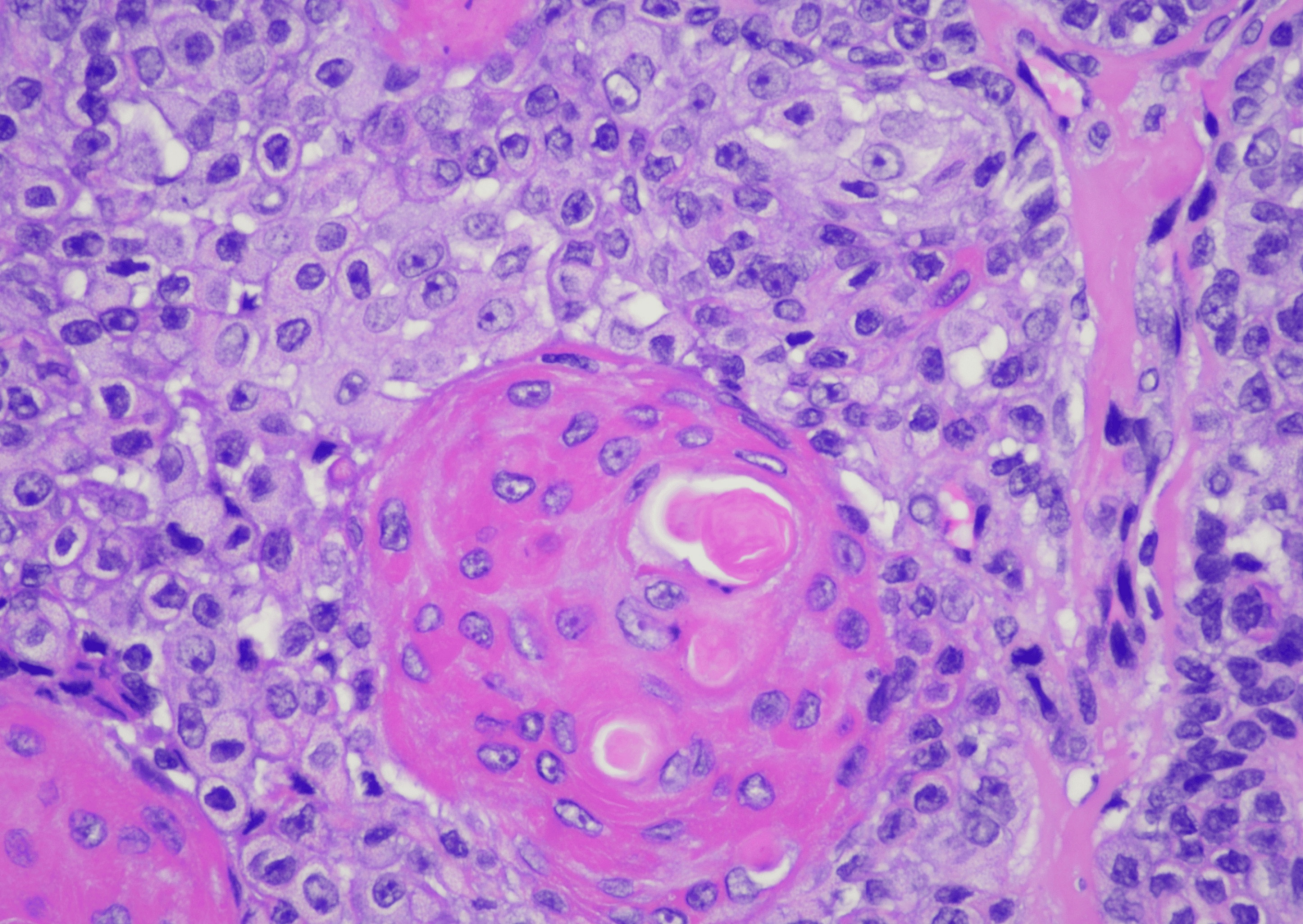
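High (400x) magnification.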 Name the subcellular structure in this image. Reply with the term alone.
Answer: Prominent nucleoli.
